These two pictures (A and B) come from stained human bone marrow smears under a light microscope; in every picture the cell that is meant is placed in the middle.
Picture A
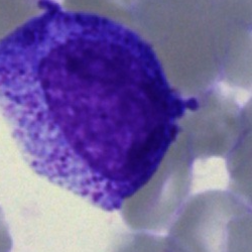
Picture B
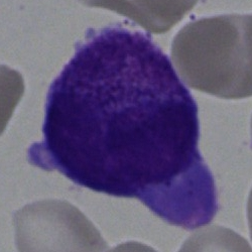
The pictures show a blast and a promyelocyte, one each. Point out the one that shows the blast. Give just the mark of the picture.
B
